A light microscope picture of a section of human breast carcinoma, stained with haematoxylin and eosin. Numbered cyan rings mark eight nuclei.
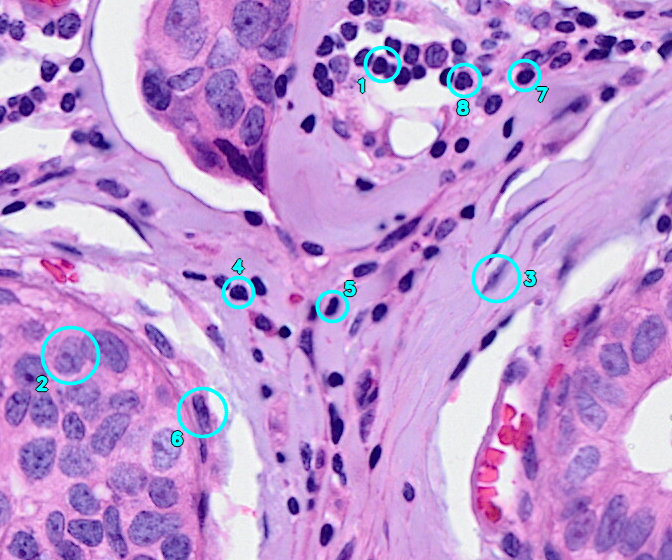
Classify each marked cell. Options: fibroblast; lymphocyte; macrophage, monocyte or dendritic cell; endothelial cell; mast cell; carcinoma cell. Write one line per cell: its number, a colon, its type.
1: lymphocyte
2: carcinoma cell
3: fibroblast
4: lymphocyte
5: lymphocyte
6: endothelial cell
7: lymphocyte
8: lymphocyte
